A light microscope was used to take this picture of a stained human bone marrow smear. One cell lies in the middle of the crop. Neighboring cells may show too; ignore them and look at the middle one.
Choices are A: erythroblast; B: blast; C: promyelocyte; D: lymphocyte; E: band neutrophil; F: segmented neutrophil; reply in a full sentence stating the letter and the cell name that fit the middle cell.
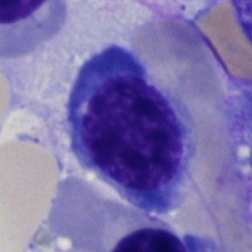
The cell at the heart of the crop is an erythroblast, so choose option A.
